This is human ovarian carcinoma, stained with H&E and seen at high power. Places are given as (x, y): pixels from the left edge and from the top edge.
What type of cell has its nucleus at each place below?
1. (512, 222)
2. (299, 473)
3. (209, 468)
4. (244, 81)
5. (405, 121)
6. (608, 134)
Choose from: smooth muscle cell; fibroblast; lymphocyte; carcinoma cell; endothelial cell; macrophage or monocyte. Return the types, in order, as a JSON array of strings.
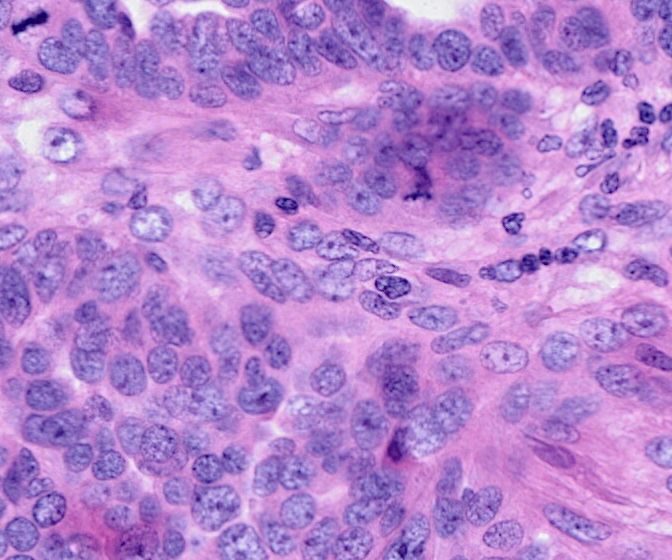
["lymphocyte", "carcinoma cell", "carcinoma cell", "carcinoma cell", "carcinoma cell", "lymphocyte"]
